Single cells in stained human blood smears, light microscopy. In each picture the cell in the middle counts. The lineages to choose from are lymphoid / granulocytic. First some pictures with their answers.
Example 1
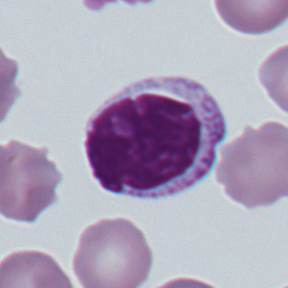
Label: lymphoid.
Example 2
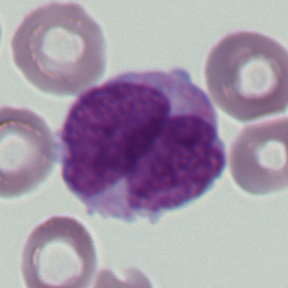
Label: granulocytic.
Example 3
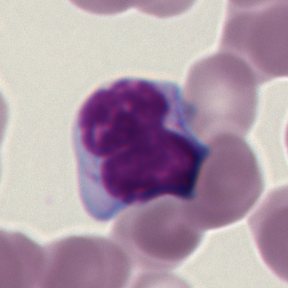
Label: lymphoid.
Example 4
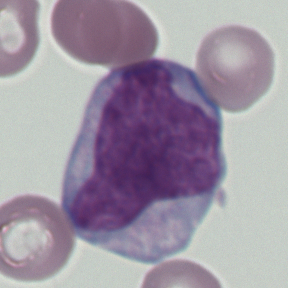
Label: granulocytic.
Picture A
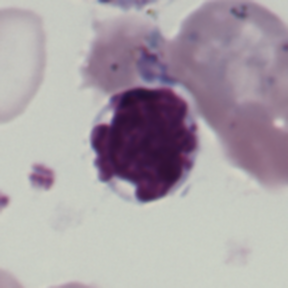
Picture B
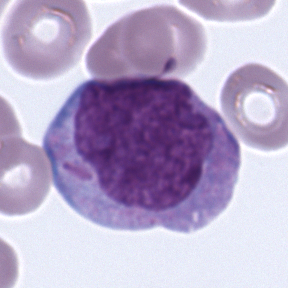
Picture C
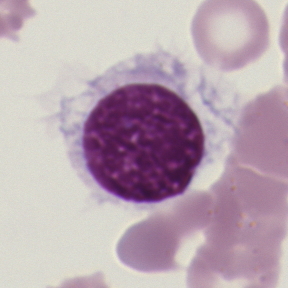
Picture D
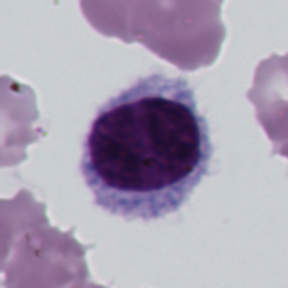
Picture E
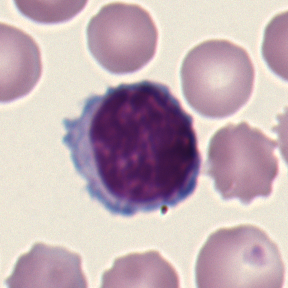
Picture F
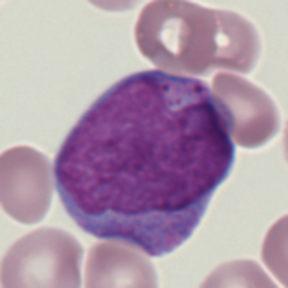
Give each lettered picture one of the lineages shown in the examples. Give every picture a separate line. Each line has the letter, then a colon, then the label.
A: lymphoid.
B: granulocytic.
C: lymphoid.
D: lymphoid.
E: lymphoid.
F: granulocytic.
